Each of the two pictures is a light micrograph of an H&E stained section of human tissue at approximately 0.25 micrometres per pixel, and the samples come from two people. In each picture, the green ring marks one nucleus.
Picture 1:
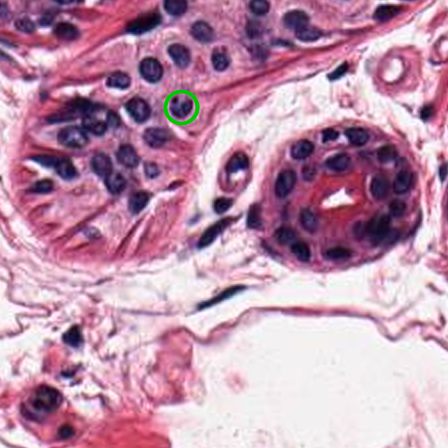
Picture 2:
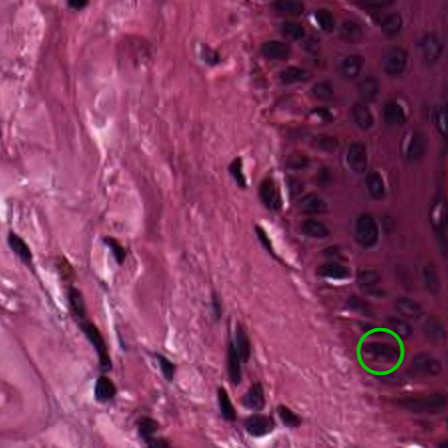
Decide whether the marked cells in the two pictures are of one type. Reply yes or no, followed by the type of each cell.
No, the first is a sweat gland cell and the second a keratinocyte.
